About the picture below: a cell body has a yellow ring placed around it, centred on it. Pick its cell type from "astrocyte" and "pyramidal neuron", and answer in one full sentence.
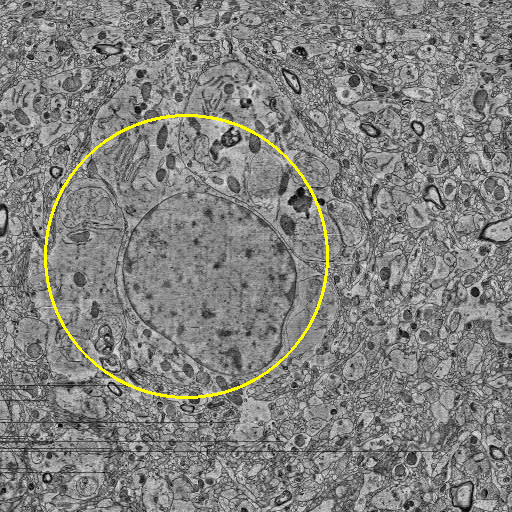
In the picture, an astrocyte is the cell sitting at the centre of the yellow ring.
